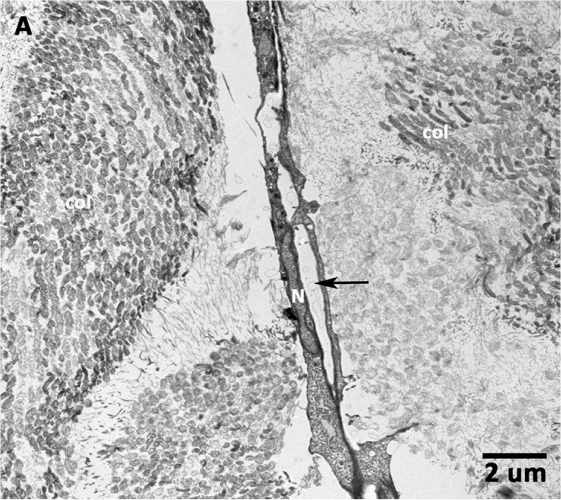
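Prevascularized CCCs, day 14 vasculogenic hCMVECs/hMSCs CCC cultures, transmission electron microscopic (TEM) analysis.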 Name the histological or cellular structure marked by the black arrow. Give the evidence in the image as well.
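The arrow points to a narrow, elongated gap between thin flattened cells. Thin elongated cell profiles run along both sides of the gap. Bundles of fibrils lie on either side of this cell strand.
Conclusion: linear slit-like space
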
